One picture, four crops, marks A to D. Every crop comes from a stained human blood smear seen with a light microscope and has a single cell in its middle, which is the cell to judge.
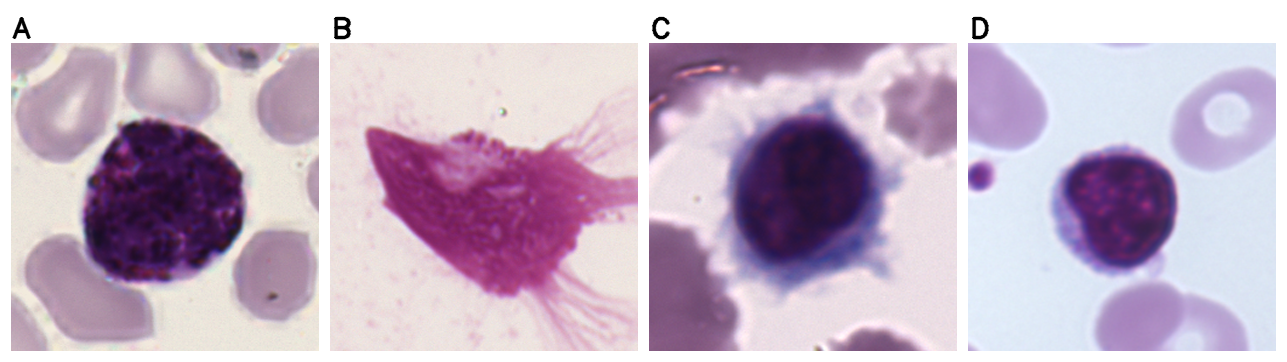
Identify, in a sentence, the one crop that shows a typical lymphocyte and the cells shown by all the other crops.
In crop D, the cell at the centre is a typical lymphocyte, while crop A is a basophil, crop B is a smudge cell and crop C is a hairy cell.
